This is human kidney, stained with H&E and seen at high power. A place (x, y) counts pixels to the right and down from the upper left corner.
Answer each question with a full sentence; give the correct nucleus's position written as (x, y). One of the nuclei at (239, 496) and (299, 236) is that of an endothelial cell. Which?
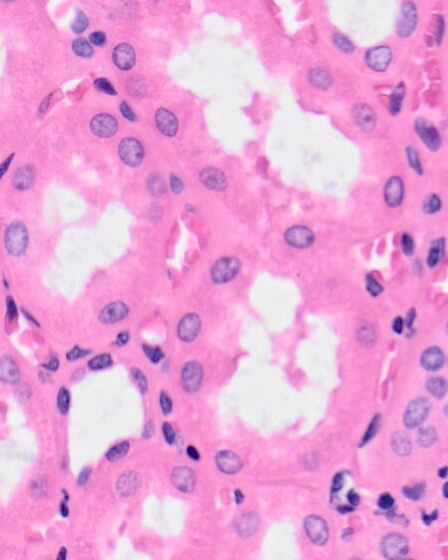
The nucleus that belongs to an endothelial cell sits at (239, 496).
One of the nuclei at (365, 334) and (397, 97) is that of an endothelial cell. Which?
The nucleus at (397, 97) is the one of the two that belongs to an endothelial cell.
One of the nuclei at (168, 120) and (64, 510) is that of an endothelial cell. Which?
Of the two nuclei, it is the one at (64, 510) that lies within an endothelial cell.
